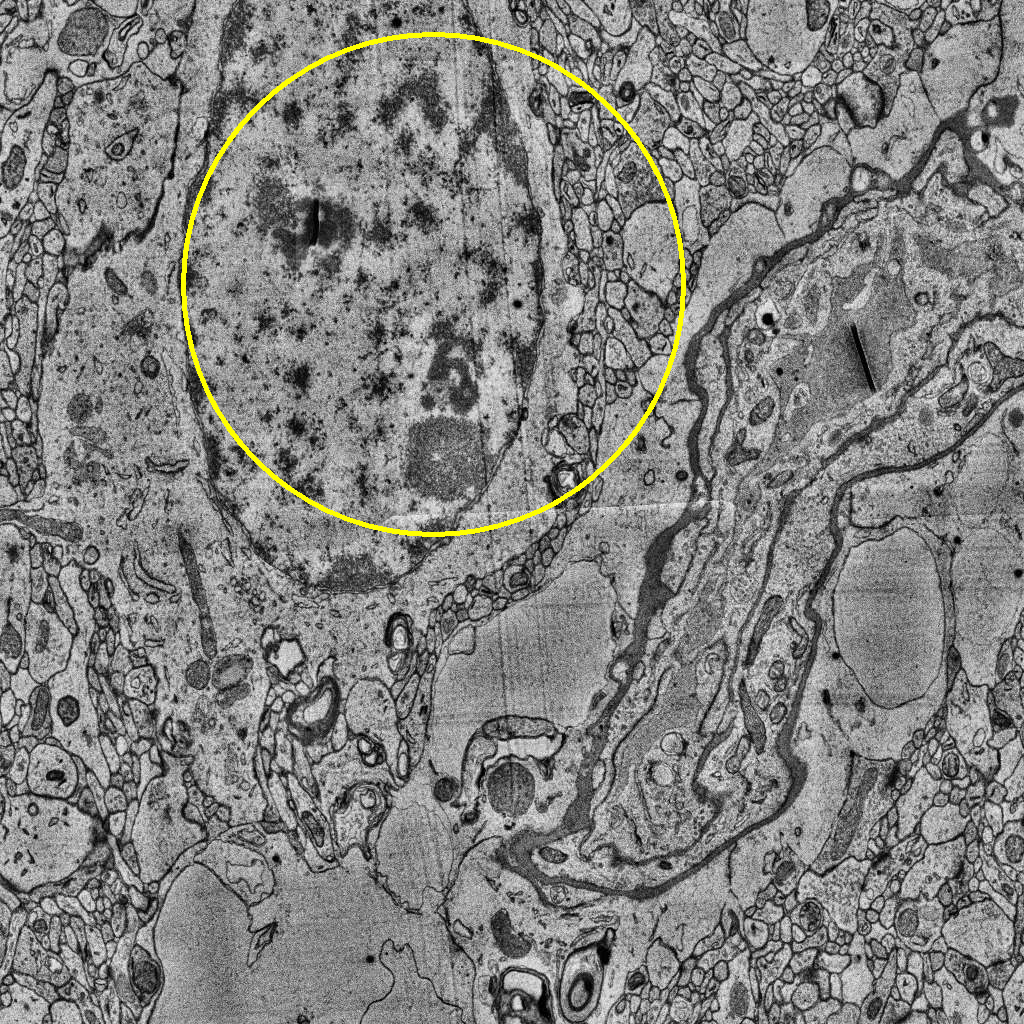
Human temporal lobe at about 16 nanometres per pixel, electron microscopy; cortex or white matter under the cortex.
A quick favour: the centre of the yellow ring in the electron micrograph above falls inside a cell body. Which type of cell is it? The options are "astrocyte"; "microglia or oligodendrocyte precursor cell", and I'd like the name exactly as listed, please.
microglia or oligodendrocyte precursor cell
